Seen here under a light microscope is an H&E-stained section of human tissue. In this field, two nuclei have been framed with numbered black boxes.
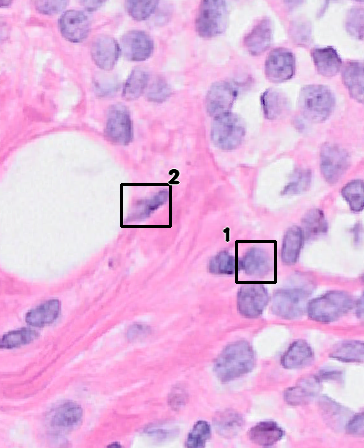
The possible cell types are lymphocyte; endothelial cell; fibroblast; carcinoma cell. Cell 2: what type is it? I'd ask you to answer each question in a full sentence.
The cell identified by number 2 is a fibroblast.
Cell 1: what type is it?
Cell 1 in the field of view is a carcinoma cell.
